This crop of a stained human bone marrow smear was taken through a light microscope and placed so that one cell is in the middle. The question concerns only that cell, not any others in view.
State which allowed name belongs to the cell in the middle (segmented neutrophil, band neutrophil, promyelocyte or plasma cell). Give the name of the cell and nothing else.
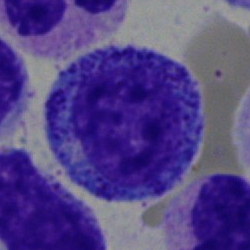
promyelocyte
